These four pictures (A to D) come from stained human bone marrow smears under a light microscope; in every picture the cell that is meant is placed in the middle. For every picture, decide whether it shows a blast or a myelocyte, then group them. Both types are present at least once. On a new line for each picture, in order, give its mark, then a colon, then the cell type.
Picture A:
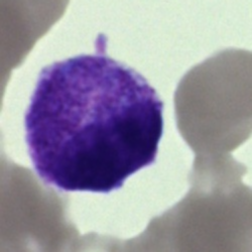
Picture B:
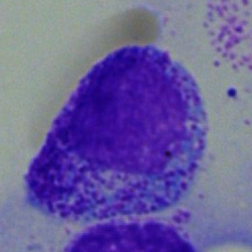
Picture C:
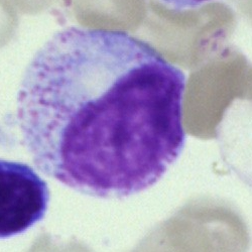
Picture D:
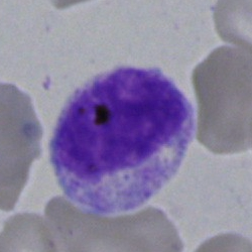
A: blast
B: myelocyte
C: myelocyte
D: myelocyte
